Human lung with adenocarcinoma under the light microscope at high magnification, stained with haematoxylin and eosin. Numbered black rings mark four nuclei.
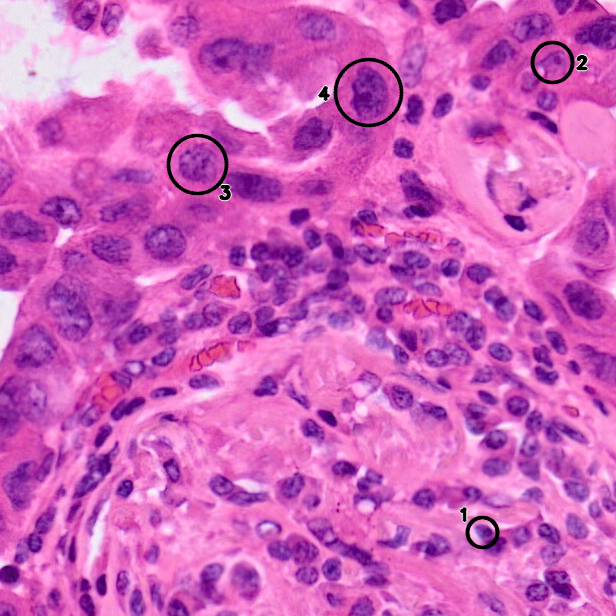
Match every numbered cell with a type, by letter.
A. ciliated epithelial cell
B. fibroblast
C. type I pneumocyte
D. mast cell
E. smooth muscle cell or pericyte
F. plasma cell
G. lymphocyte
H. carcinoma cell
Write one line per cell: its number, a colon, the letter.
1: G
2: H
3: H
4: H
